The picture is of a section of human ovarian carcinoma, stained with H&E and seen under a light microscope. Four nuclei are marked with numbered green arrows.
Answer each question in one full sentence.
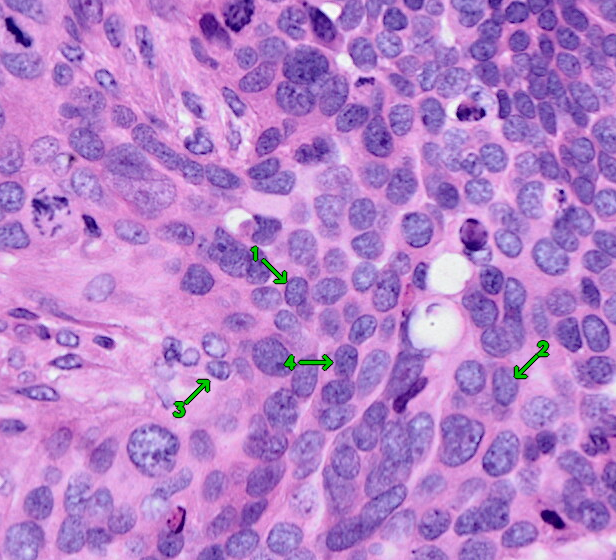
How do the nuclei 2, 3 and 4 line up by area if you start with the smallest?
The order from the smallest nucleus to the largest is 3, 4, 2.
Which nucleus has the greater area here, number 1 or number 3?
Nucleus 1 covers more area, about 1.5 times as much as nucleus 3.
